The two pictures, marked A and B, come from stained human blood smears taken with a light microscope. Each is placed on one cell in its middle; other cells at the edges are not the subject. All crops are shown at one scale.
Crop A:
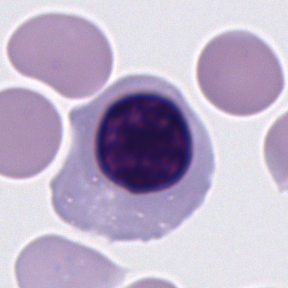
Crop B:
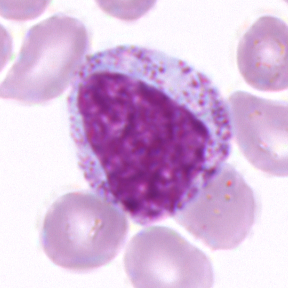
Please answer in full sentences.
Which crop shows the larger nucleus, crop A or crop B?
Larger is the nucleus in crop B, at roughly 2 times the area of the other.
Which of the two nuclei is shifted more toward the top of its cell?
Seen within its cell, the nucleus in crop A lies further toward the top.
